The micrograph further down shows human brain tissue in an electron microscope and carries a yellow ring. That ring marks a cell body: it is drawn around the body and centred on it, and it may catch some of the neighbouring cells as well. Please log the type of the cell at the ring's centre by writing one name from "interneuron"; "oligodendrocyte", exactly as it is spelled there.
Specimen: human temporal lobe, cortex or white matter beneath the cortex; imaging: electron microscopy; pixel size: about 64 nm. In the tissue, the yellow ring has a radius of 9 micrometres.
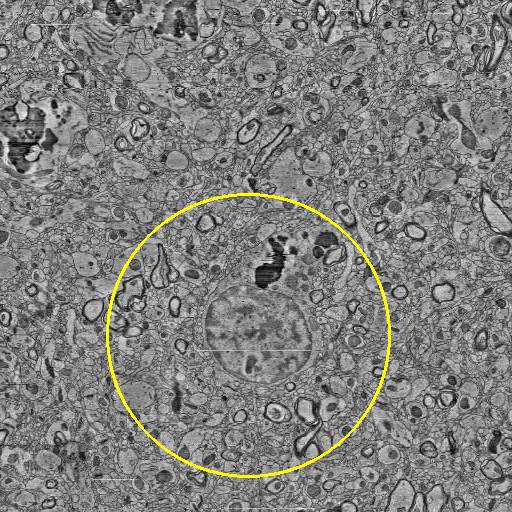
oligodendrocyte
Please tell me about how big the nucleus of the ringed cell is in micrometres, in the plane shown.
In this plane, the nucleus of the cell at the centre of the ring is about 7 micrometres across.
